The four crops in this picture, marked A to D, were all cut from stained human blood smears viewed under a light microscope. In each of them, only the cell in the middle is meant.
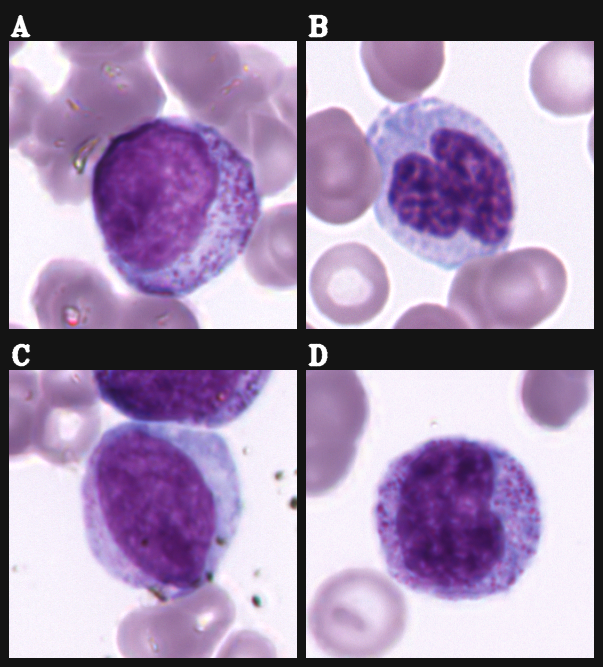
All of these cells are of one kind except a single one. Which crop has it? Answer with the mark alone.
B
